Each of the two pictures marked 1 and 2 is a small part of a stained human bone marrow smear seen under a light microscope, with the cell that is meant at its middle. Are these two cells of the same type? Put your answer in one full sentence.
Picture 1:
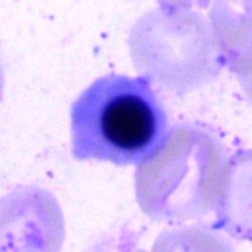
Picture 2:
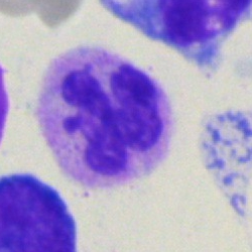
No, the types are not the same, since picture 1 shows an erythroblast and picture 2 a segmented neutrophil.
